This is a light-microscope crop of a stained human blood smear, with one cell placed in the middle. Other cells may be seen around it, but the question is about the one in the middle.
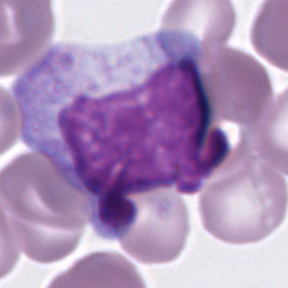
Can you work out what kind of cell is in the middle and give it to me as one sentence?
The cell nearest the centre of this crop is a myelocyte.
